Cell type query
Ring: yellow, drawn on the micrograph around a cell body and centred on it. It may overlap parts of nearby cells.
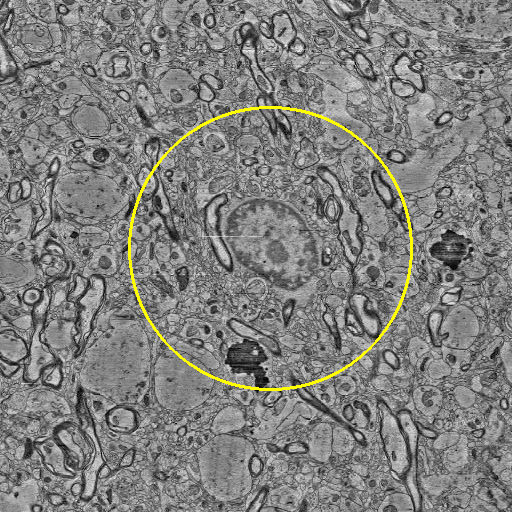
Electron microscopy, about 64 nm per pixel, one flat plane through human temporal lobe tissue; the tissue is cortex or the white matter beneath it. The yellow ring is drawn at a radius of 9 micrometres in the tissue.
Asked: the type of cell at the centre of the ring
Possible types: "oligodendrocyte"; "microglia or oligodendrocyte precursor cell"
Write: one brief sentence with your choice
The ring marks an oligodendrocyte.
